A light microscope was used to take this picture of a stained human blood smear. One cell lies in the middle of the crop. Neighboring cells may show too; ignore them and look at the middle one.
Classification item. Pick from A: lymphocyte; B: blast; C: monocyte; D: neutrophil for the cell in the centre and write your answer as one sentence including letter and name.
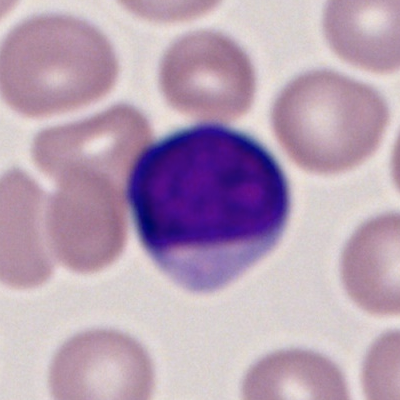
In this crop the central cell is a lymphocyte, which option A correctly states.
